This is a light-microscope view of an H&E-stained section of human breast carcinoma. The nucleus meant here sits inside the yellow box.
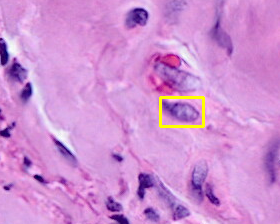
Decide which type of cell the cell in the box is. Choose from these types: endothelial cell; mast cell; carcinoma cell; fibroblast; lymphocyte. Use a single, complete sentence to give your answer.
Histopathologically, the cell in the box is an endothelial cell.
